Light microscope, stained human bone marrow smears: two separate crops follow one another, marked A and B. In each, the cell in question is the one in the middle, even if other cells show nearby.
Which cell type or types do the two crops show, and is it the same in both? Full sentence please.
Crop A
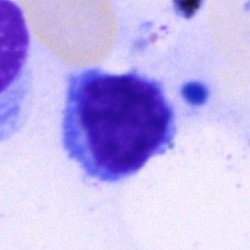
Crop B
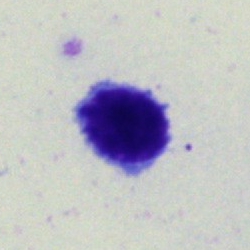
Yes, it is lymphocytes that both crops show.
